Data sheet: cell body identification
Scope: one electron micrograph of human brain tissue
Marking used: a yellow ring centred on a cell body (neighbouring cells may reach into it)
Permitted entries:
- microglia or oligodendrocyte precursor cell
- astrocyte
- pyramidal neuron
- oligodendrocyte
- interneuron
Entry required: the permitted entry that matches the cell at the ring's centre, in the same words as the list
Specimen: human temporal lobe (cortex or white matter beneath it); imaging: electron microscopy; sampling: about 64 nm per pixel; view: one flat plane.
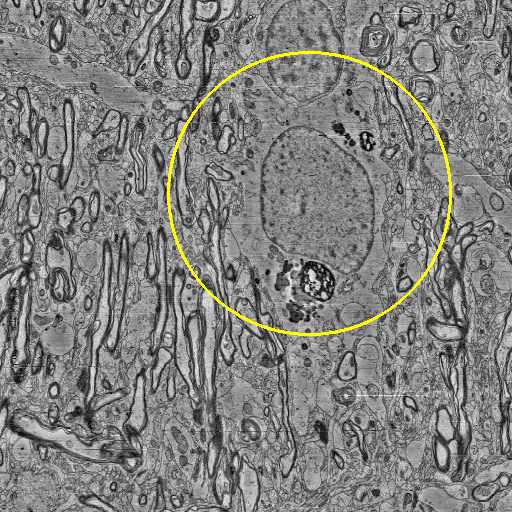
astrocyte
